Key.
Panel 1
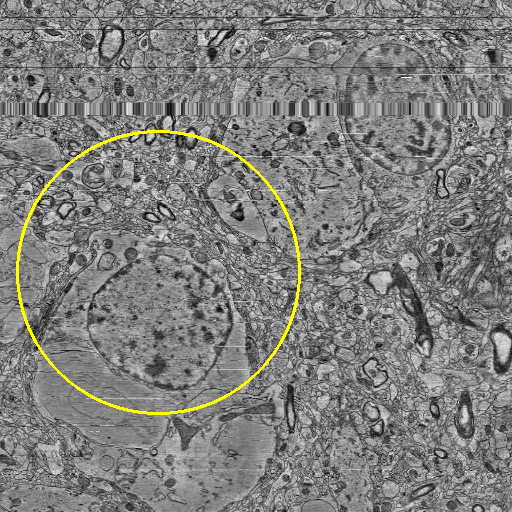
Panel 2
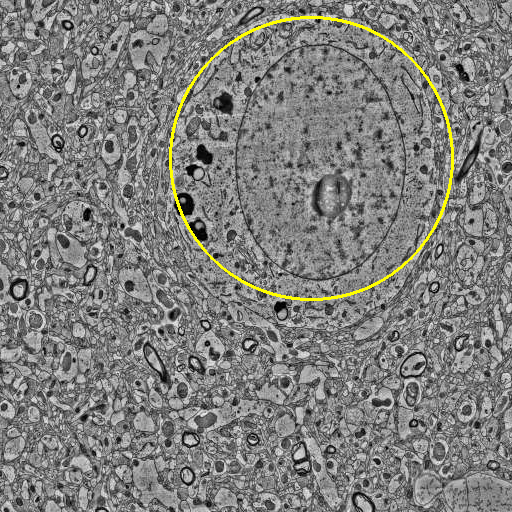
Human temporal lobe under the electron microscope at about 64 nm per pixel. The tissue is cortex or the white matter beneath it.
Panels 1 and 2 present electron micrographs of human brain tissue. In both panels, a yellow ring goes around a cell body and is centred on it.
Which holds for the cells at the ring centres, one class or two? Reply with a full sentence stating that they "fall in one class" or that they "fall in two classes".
Taken together, the ring-centre cells of the two panels fall in two classes.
